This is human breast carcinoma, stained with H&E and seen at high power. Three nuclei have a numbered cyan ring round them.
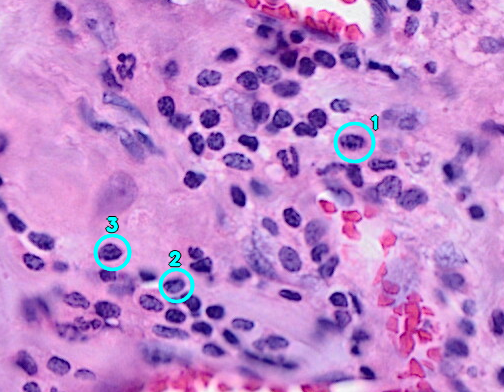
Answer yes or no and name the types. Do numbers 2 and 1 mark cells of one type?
No, cell 2 is a lymphocyte; cell 1 is a mast cell.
